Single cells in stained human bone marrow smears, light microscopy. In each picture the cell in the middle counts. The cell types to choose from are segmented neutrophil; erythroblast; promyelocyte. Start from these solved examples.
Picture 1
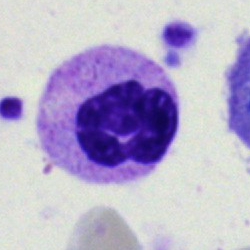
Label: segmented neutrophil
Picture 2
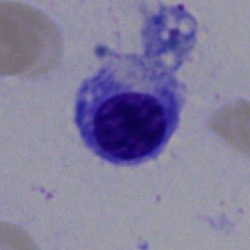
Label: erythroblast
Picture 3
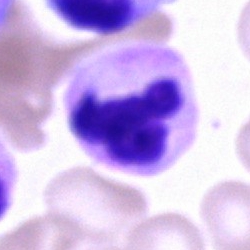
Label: segmented neutrophil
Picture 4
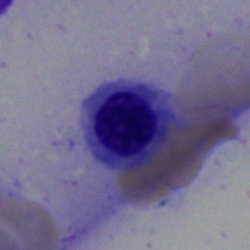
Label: erythroblast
